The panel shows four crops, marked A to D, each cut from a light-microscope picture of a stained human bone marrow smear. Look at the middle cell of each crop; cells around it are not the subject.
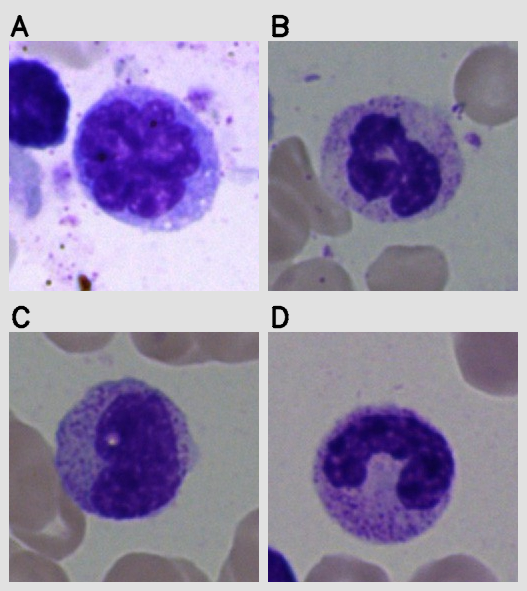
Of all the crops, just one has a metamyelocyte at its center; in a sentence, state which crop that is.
Here the crop that shows a metamyelocyte is crop C.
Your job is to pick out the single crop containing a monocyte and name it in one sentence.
Crop A matches the request, showing a monocyte.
